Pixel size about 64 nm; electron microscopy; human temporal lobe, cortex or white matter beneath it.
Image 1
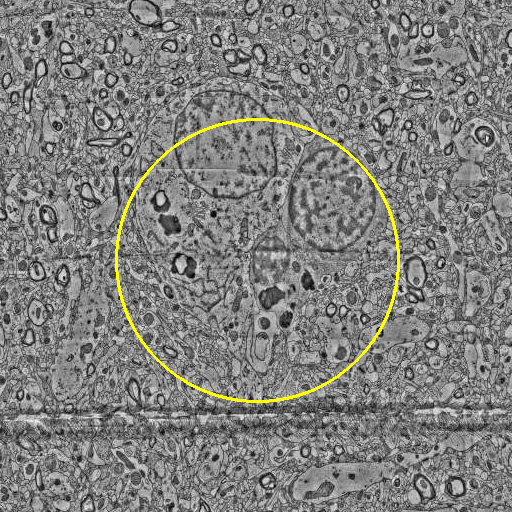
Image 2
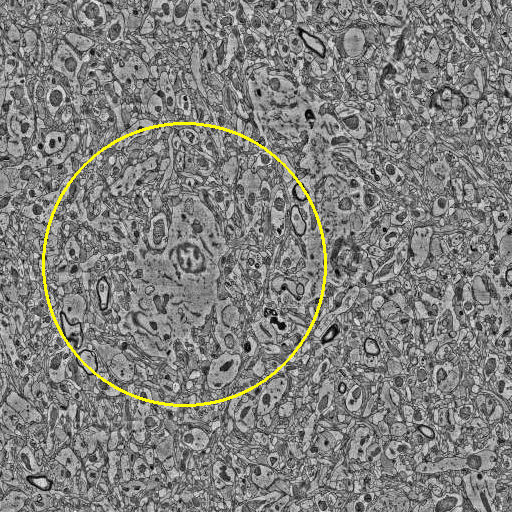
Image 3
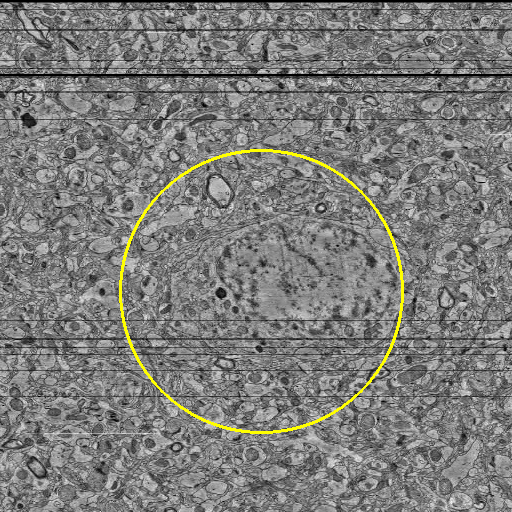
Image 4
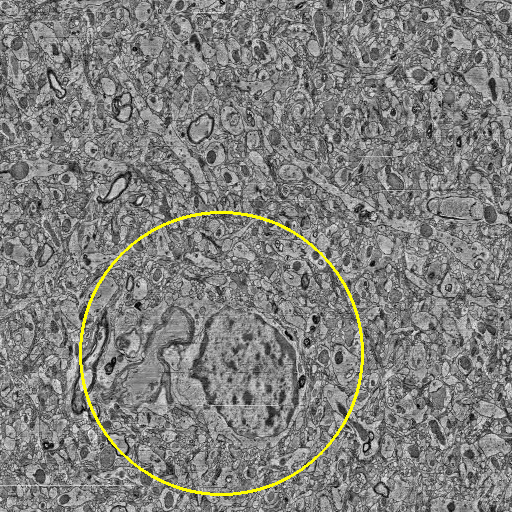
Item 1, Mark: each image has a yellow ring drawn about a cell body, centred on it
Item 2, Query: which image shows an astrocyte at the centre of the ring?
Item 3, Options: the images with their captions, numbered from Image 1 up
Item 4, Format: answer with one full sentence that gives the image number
My answer is image 2, where the cell at the ring's centre fits.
